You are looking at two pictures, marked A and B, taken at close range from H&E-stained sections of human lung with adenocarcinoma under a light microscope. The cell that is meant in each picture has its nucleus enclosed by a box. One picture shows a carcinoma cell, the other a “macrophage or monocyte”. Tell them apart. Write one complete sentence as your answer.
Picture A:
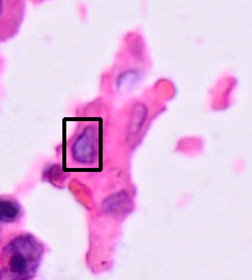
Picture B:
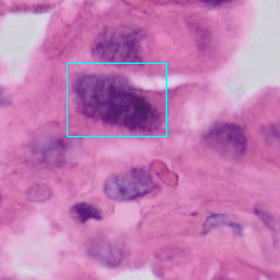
Picture A shows a “macrophage or monocyte” and picture B shows a carcinoma cell.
